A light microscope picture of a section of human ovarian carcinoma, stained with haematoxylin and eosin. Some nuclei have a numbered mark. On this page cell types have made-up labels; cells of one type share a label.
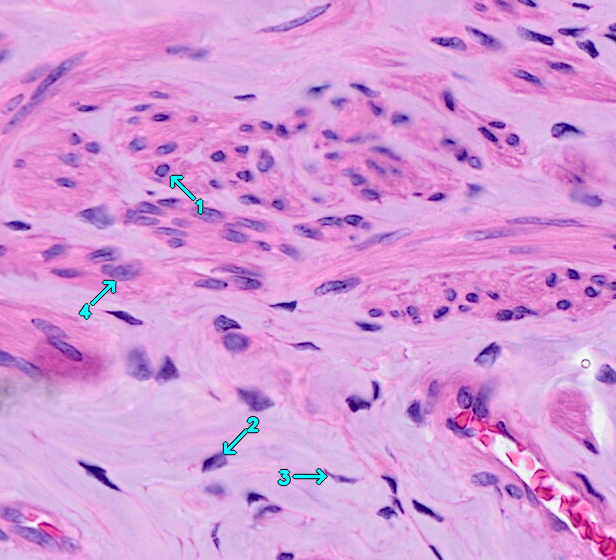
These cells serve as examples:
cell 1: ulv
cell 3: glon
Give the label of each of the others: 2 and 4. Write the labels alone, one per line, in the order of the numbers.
glon
ulv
